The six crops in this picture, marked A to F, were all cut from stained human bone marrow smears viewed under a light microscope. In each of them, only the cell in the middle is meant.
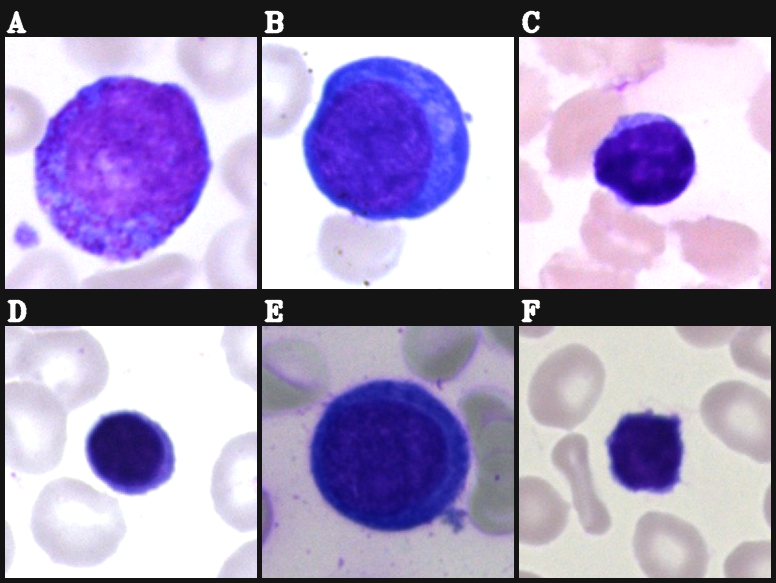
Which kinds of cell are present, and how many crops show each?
lymphocyte: 3
proerythroblast: 2
promyelocyte: 1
